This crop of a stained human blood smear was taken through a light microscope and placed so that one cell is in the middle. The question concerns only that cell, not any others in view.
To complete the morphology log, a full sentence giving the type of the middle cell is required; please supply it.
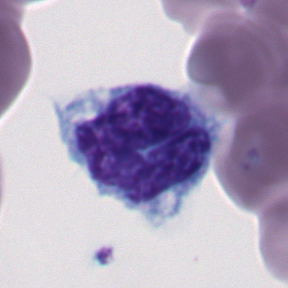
In the middle of this smear crop, the cell is a monocyte.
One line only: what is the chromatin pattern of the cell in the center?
You can see that its chromatin is coarsely clumped.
